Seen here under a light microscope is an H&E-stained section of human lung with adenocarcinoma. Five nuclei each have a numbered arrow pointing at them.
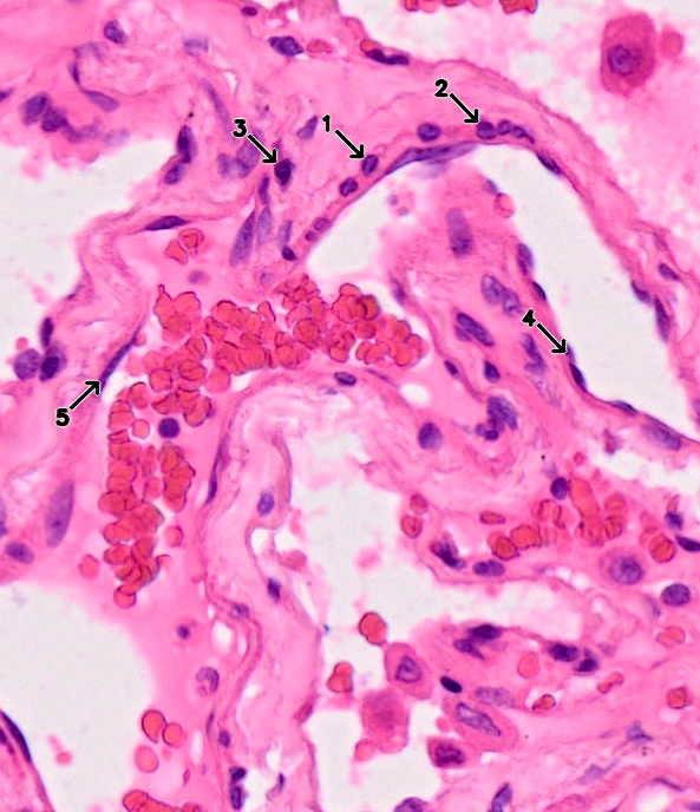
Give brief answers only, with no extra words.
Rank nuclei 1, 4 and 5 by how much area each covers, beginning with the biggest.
5, 4, 1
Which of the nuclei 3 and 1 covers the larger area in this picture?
3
